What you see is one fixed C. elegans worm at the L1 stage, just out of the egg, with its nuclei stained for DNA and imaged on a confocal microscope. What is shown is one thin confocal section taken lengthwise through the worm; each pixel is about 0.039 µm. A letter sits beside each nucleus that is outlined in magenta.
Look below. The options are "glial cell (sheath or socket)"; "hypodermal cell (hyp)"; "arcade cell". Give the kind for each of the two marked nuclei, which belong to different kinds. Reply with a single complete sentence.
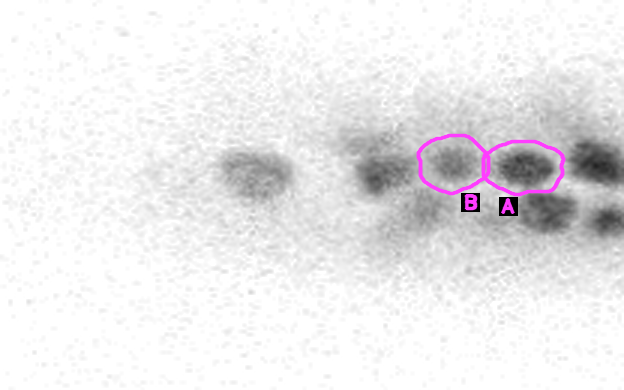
Nucleus A comes from a glial cell (sheath or socket) and nucleus B from a hypodermal cell (hyp).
